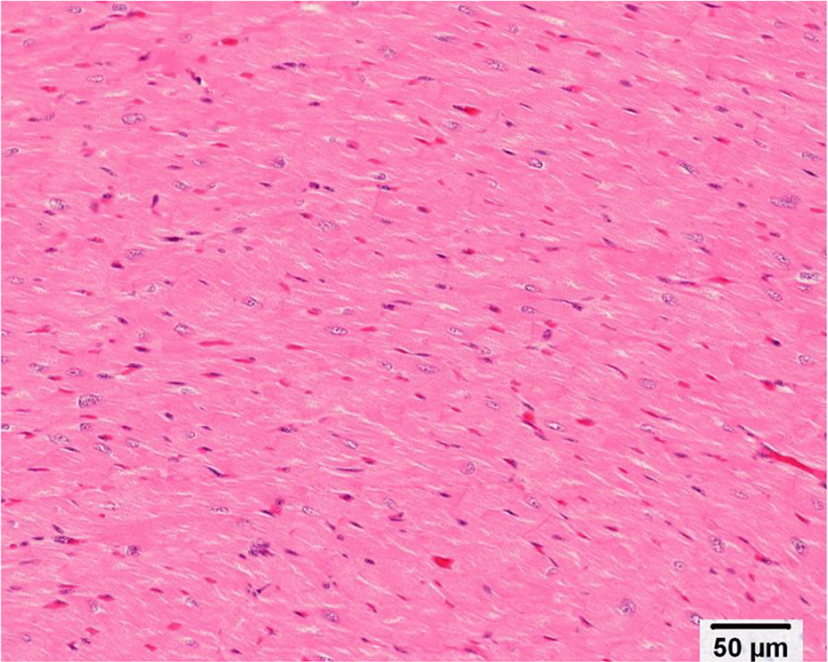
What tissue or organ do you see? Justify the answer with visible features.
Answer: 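Long, parallel pink muscle fibres run diagonally across the field. Oval, centrally placed nuclei lie within the fibres. Small dark elongated nuclei of interstitial cells lie between the fibres.
Conclusion: myocardium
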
